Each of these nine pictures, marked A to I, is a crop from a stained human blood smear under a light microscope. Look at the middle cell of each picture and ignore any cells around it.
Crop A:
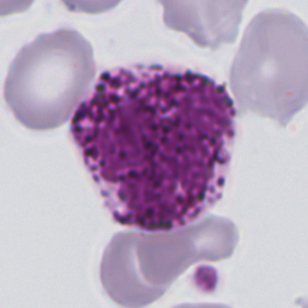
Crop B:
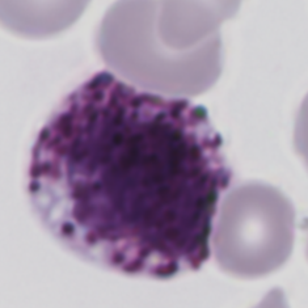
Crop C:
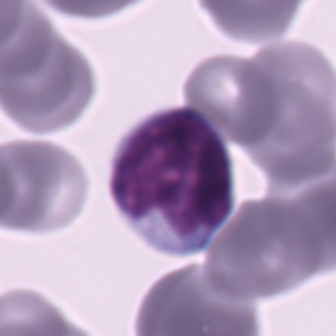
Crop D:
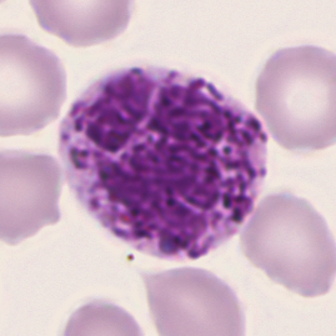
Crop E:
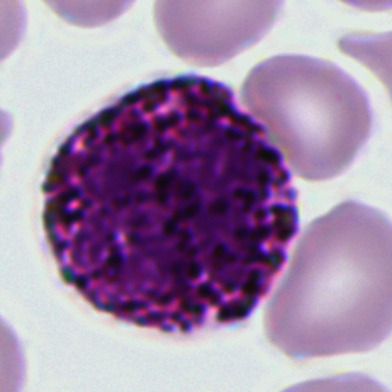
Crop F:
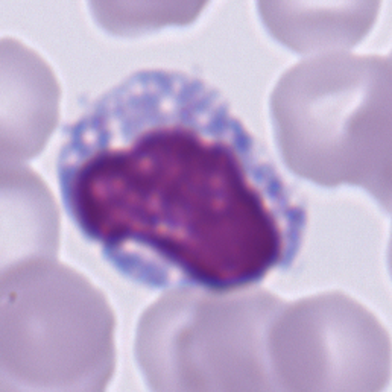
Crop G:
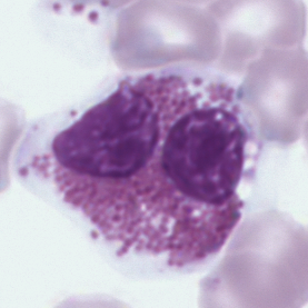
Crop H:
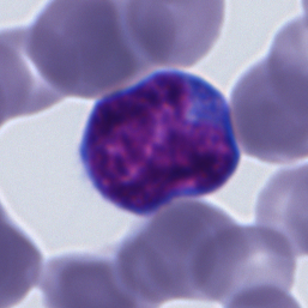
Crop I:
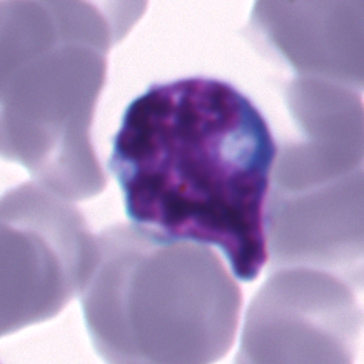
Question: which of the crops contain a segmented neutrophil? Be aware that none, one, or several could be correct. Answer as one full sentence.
In every crop, the cell in the middle is not a segmented neutrophil.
